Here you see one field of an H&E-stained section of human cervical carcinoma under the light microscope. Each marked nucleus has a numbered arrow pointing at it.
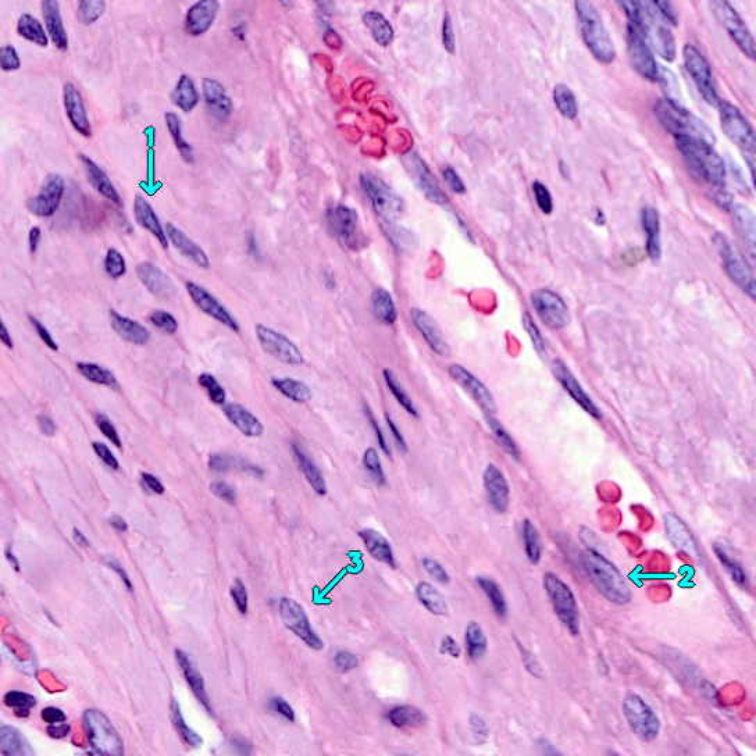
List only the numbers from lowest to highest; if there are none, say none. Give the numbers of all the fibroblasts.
1, 3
